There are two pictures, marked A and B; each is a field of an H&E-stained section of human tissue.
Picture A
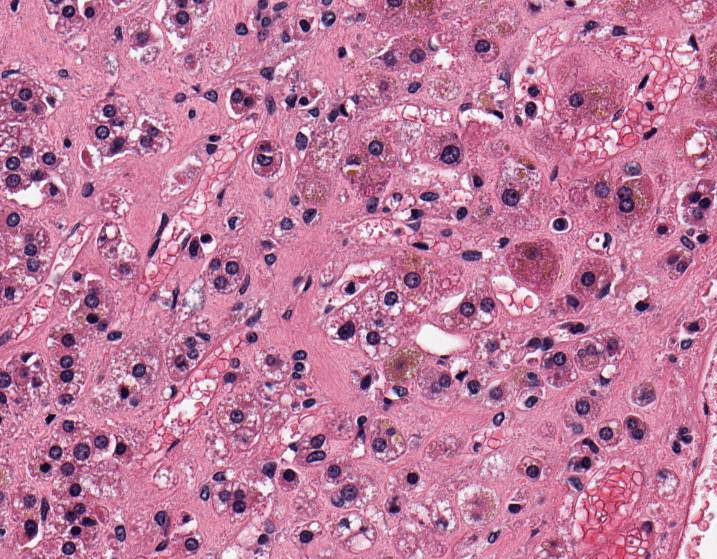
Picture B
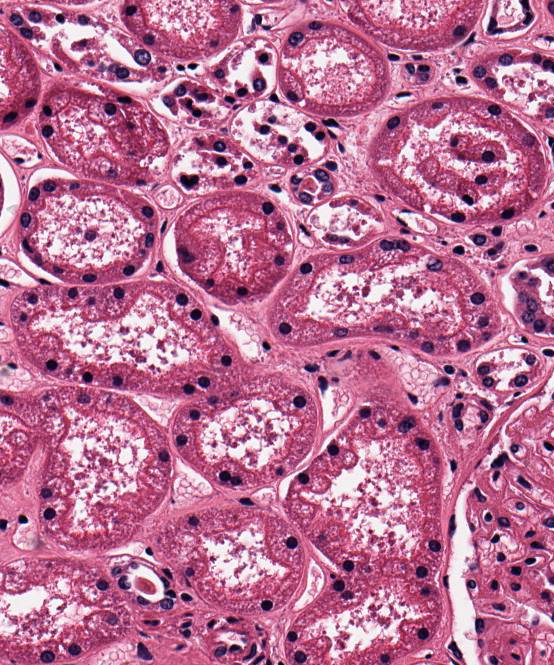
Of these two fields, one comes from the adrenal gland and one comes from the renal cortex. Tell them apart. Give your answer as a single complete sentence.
Picture B comes from the renal cortex, while picture A comes from the adrenal gland.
